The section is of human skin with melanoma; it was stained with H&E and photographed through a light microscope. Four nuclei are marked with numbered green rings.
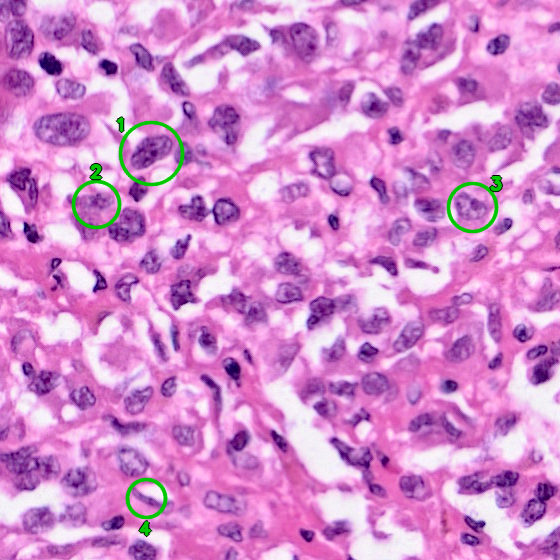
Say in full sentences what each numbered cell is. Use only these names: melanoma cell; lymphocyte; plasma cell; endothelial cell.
Cells 1, 2 and 3 are melanoma cells. Cell 4 is an endothelial cell.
